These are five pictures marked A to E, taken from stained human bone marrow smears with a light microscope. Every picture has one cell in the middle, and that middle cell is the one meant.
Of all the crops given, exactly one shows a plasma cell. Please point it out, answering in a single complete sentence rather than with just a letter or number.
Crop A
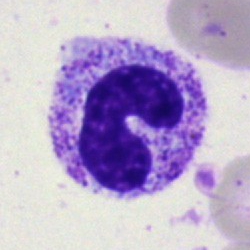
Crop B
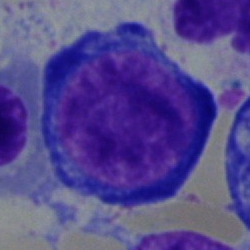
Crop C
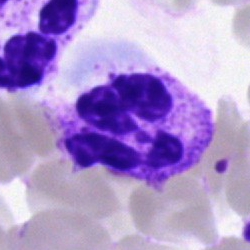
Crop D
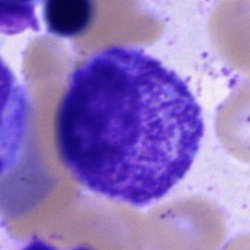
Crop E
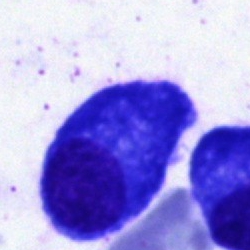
The sole crop showing a plasma cell is crop E.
